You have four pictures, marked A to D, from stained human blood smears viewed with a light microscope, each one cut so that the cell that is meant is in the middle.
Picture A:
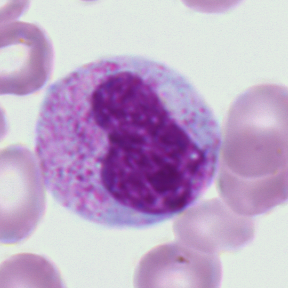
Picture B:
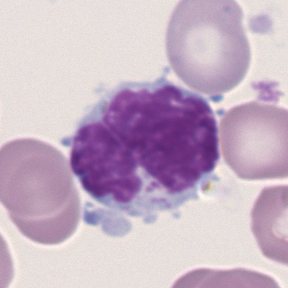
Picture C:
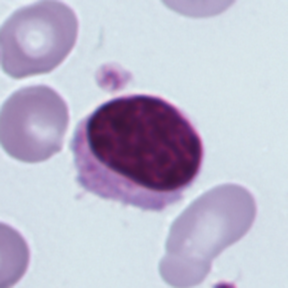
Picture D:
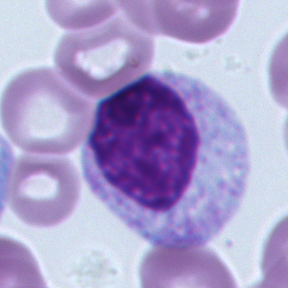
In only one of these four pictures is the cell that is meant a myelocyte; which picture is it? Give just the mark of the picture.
D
